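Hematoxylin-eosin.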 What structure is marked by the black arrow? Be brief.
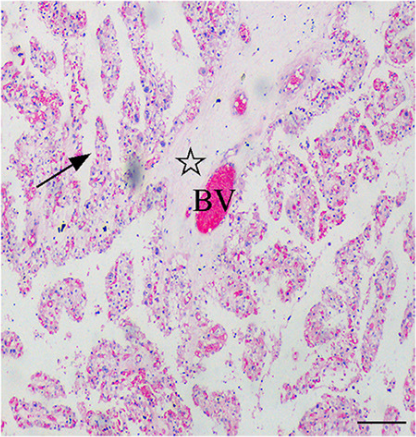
Villi.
